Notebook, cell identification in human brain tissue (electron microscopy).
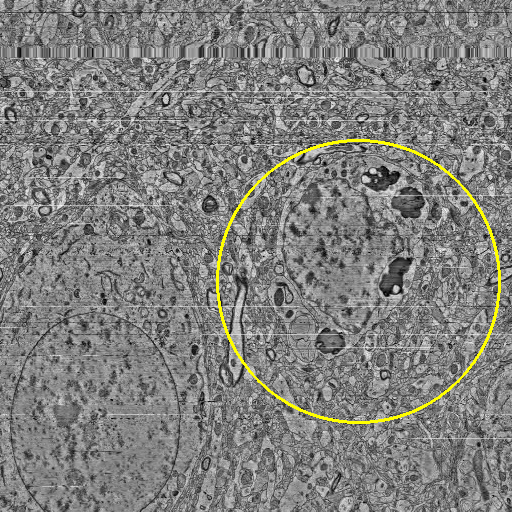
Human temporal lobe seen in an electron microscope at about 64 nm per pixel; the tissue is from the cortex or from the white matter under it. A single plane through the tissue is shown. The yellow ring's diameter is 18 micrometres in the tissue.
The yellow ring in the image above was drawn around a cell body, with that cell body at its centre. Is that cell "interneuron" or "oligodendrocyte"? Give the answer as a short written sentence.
The cell in the ring is an interneuron.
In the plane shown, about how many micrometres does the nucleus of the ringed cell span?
The nucleus is approximately 10 micrometers long by 8 micrometers wide in this plane.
